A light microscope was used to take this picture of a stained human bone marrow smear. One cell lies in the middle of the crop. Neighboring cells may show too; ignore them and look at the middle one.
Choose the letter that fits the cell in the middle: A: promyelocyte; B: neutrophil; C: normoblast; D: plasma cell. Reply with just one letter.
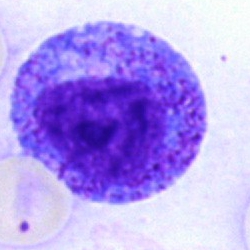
A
